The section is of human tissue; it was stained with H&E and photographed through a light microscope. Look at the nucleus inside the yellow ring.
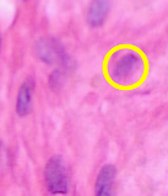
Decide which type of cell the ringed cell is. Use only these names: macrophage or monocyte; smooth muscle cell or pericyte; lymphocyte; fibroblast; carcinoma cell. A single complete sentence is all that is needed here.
Labelled by cell type, the ringed cell is a smooth muscle cell or pericyte.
